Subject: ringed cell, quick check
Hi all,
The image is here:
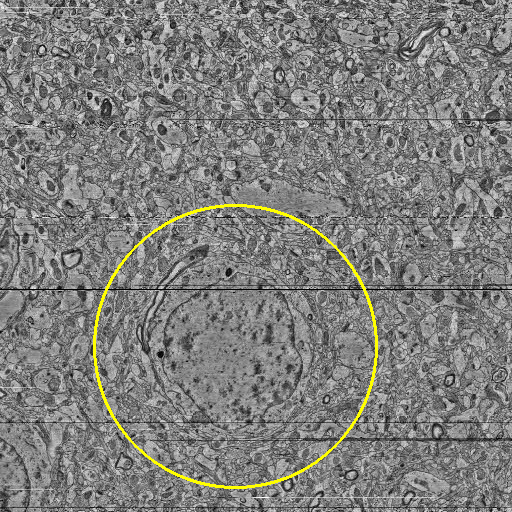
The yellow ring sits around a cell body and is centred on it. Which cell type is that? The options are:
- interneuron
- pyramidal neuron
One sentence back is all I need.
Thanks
That ringed cell is a pyramidal neuron.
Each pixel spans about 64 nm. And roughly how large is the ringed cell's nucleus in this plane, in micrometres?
About 10 by 9 micrometres in this plane.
